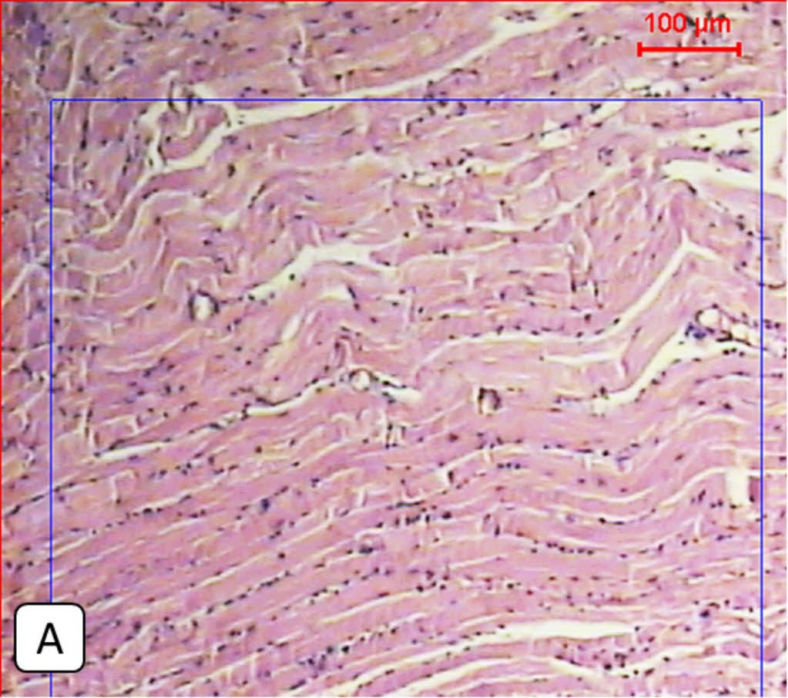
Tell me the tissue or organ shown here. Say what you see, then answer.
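Long, pink-staining fibers run in parallel, wavy bundles across the panel. Dark, elongated nuclei lie along the fibers. Narrow pale clefts separate the bundles of fibers. That points to this answer: longitudinal muscle fibers.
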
